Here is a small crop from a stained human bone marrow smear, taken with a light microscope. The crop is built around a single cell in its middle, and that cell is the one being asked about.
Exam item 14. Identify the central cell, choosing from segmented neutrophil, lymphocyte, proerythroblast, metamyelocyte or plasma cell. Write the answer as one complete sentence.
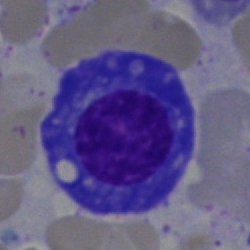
Where the crop is centred, there is a plasma cell.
